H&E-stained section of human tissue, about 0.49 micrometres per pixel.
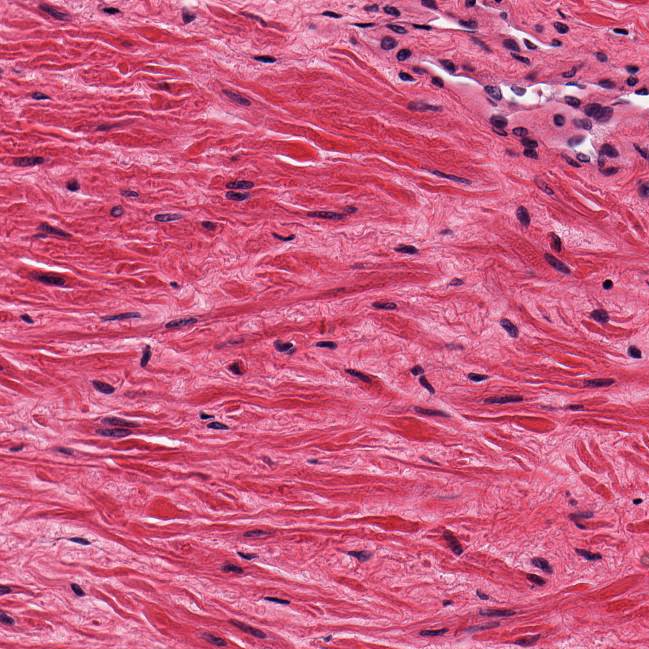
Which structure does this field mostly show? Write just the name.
fibromuscular stroma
